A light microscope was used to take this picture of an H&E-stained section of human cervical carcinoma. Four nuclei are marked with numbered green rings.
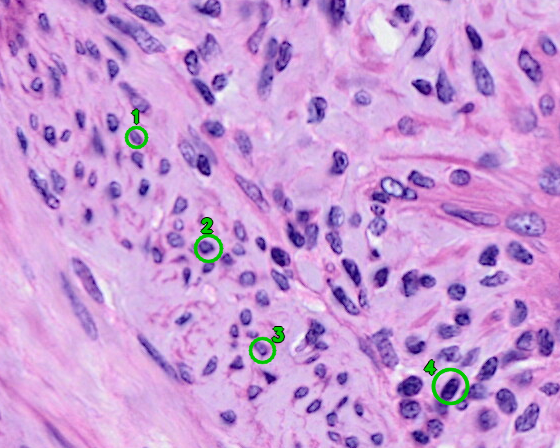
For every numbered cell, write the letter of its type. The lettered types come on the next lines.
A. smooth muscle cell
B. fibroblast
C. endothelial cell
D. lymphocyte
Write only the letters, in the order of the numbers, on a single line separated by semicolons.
A; A; A; D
